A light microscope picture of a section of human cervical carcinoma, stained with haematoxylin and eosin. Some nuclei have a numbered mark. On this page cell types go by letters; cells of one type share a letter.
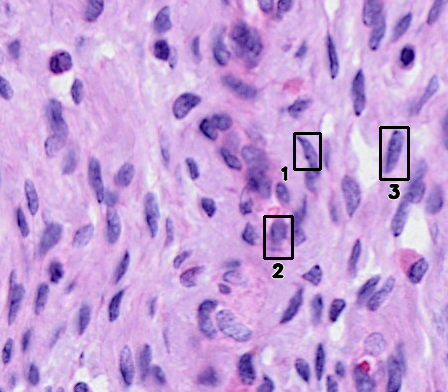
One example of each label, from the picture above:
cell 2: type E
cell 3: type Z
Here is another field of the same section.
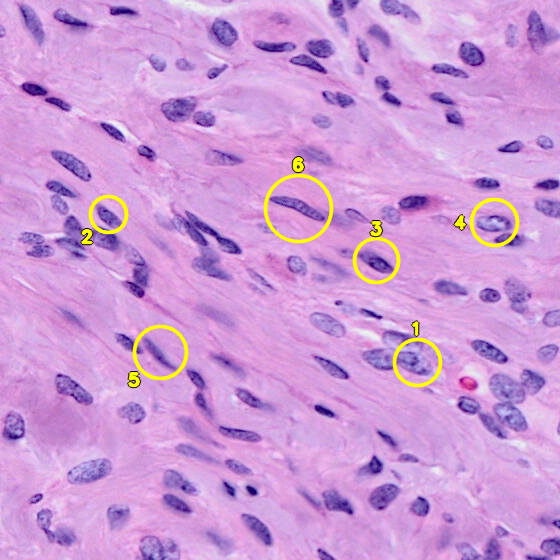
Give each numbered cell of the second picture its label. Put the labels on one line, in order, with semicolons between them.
type E; type Z; type Z; type E; type Z; type Z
